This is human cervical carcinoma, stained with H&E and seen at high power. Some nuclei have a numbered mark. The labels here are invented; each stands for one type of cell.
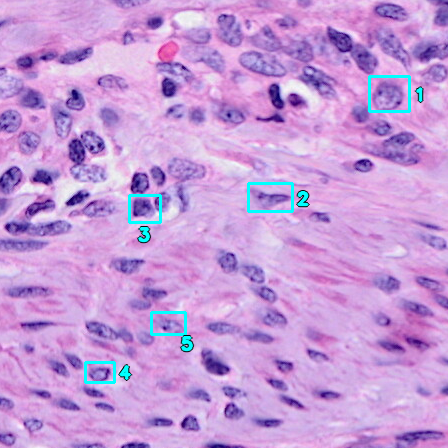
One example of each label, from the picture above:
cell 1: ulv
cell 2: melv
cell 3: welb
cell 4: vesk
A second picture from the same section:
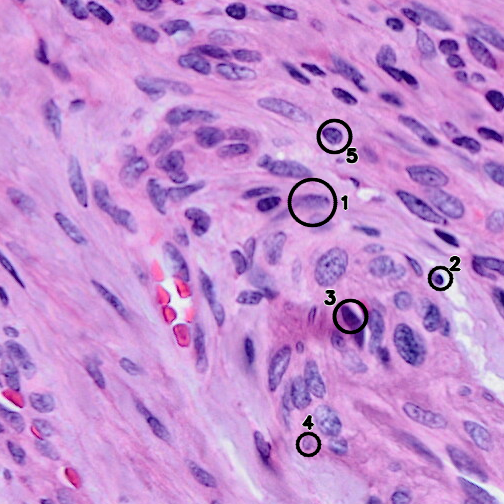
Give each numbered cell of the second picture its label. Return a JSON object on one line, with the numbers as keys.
{"1": "melv", "2": "welb", "3": "ulv", "4": "vesk", "5": "welb"}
